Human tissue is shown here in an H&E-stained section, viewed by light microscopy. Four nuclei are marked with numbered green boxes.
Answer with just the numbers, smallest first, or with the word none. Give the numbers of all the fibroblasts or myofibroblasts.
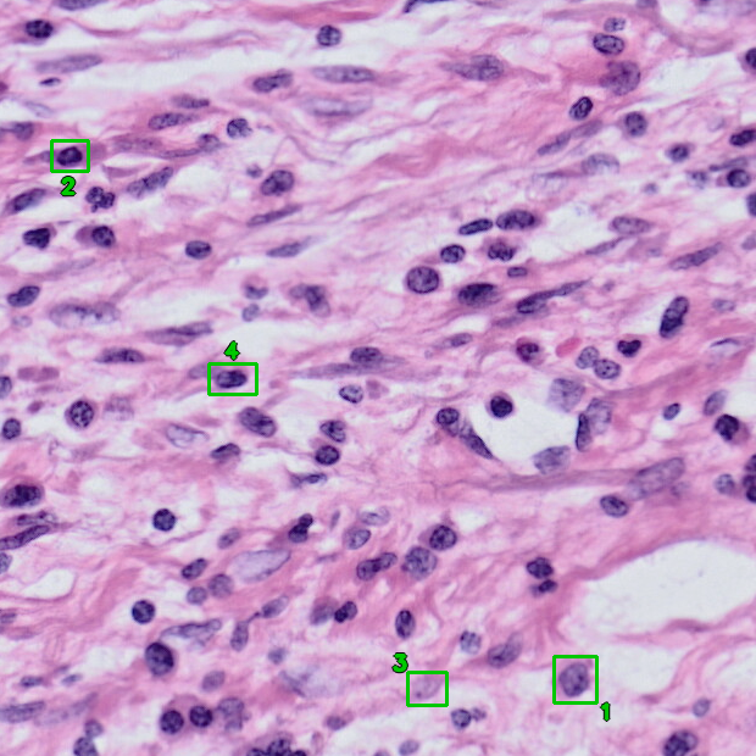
3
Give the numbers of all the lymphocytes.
4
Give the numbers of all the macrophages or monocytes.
1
